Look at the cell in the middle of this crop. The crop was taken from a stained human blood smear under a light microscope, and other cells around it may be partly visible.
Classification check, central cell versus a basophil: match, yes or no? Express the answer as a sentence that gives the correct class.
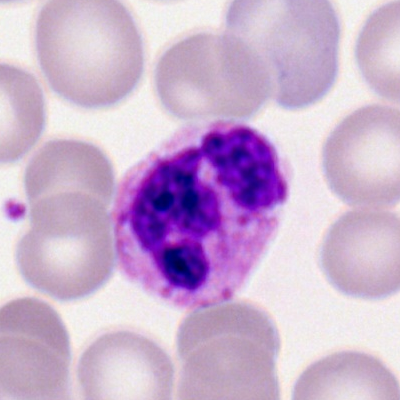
Yes, the centered cell in this field is a basophil.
